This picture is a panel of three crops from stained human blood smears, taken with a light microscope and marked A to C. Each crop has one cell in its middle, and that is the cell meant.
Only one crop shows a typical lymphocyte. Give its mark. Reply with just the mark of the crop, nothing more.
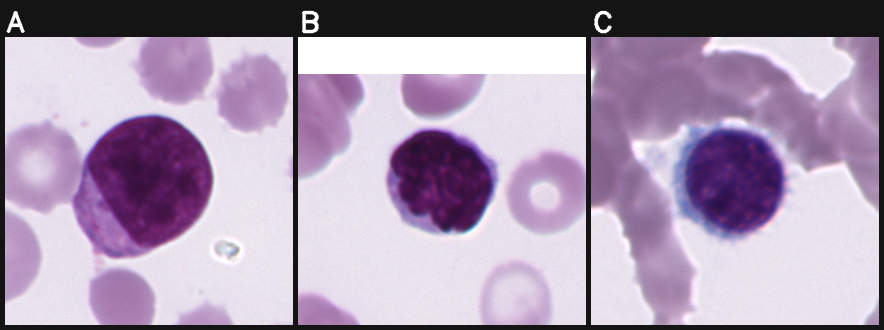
B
